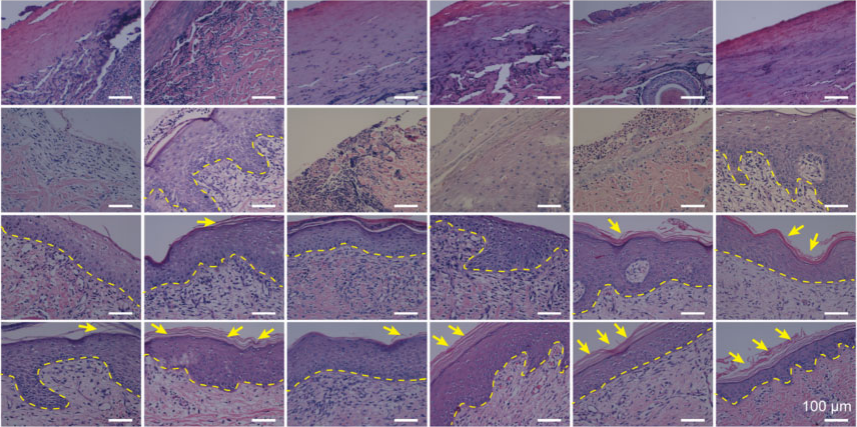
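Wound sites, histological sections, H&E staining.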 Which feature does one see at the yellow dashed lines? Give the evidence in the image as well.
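The yellow dashed lines run beneath a densely cellular, purple-stained surface layer. Below the lines lies looser, pinker tissue with scattered nuclei.
The boundary between the newly formed epidermis and dermis.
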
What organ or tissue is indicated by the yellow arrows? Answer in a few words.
the stratum corneum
